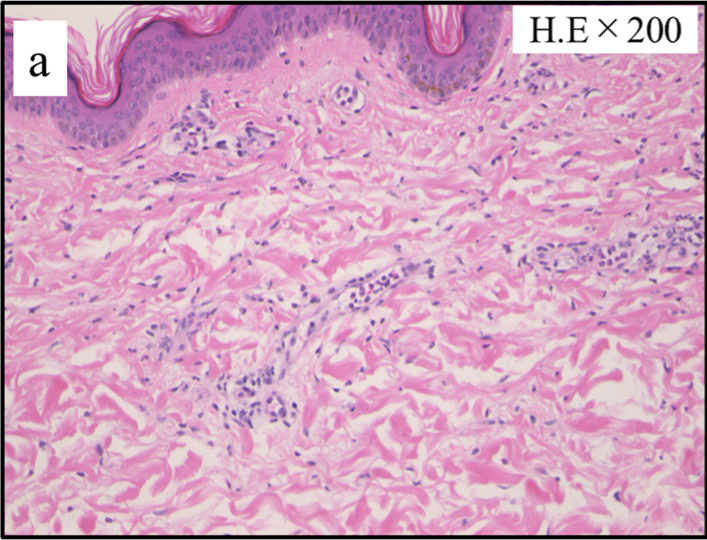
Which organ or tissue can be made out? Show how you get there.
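A layer of pink wavy collagen bundles lies beneath a purple stratified epithelium at the top. Small vessels run through the collagen. That points to this answer: dermis.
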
